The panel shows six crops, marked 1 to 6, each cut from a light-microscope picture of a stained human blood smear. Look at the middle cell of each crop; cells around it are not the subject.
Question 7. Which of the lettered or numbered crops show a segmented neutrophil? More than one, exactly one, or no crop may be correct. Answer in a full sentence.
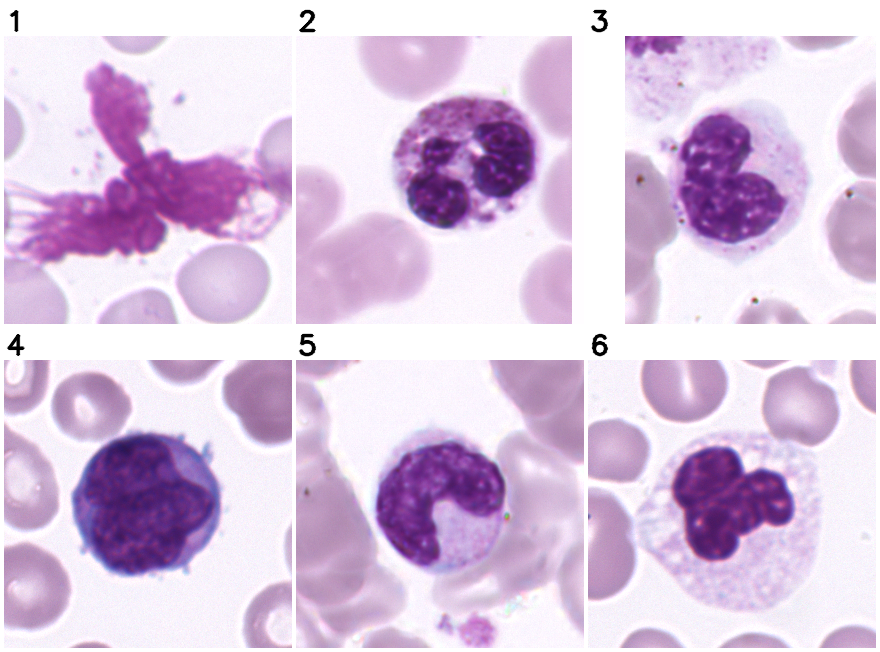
Check crop 6; it is the only crop that has a segmented neutrophil.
